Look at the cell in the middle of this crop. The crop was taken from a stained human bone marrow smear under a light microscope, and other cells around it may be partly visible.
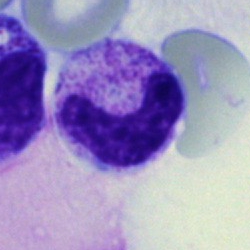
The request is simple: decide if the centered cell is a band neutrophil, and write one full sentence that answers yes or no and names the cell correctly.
Yes, the cell that lies centrally is a band neutrophil.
